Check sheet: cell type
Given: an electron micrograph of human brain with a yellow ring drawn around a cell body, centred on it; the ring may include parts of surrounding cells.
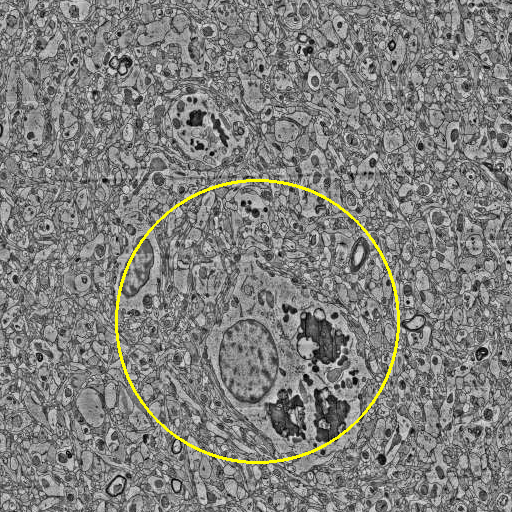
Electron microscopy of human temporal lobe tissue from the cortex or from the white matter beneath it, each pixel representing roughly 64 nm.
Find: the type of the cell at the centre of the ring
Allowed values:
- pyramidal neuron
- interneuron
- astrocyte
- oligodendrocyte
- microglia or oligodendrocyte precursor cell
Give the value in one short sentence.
Here the ringed cell is an astrocyte.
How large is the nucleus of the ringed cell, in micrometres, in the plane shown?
About 5 micrometres by about 4 micrometres in this plane.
